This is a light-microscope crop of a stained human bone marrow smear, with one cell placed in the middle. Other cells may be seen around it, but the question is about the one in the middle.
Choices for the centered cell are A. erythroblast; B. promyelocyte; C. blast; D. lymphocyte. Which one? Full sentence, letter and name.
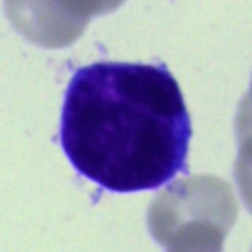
In the centre of the crop there is a blast, making option C correct.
